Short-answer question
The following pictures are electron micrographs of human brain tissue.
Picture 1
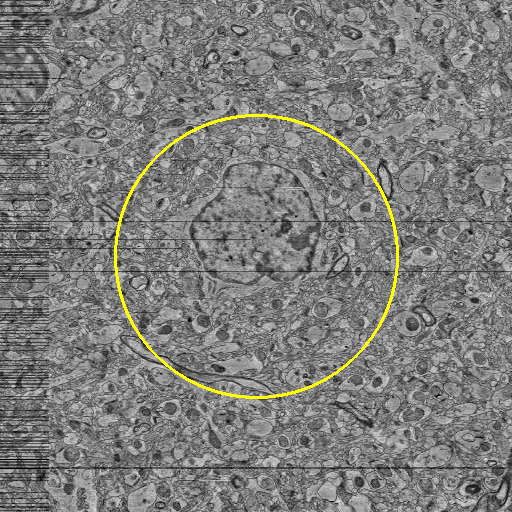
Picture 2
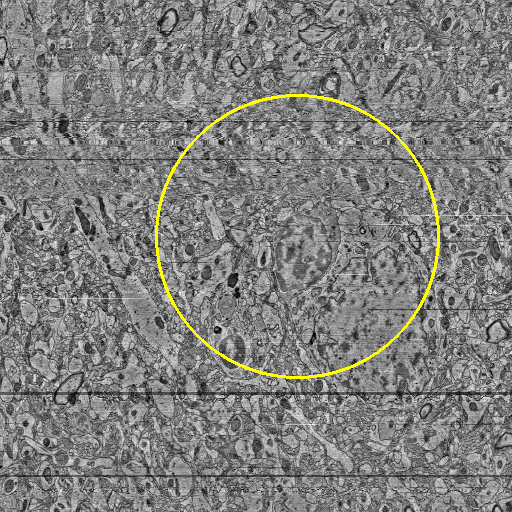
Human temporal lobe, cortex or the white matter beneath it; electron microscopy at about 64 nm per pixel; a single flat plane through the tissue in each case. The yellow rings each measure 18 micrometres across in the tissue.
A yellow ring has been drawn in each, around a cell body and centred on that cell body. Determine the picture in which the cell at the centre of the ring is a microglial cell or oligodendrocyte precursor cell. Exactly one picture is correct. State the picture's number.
1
